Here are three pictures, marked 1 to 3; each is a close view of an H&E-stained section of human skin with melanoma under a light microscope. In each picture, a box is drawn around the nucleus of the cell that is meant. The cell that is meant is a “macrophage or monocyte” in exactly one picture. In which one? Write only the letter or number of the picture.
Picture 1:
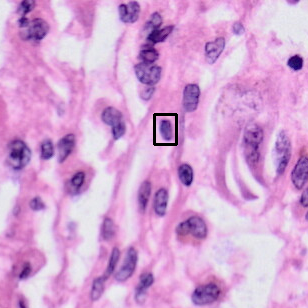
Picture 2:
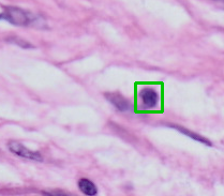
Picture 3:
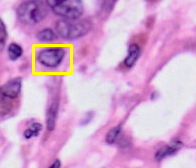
3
